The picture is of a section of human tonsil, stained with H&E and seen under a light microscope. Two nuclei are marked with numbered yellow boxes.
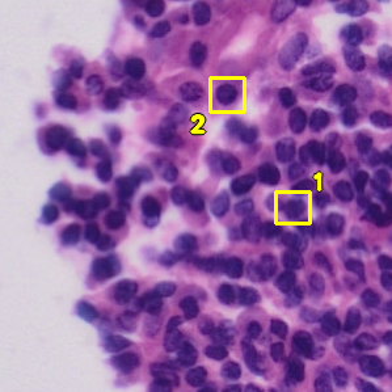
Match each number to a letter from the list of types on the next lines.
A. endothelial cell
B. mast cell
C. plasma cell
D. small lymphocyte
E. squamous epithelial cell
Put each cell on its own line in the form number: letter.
1: D
2: C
